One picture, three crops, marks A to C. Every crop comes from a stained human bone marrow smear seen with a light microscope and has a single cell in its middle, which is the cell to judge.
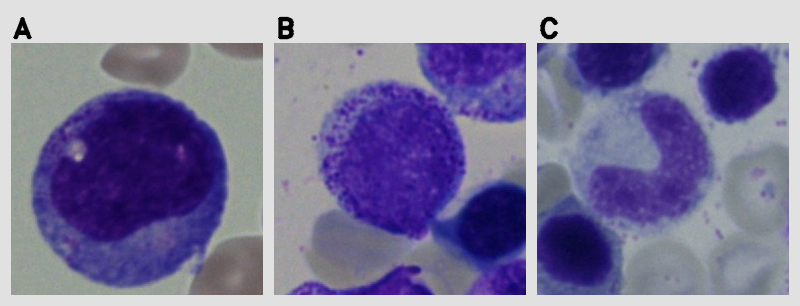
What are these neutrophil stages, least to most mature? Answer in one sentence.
Ranked by maturation stage, earliest first, the crops read crop A (a promyelocyte), crop B (a myelocyte) and crop C (a band neutrophil).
